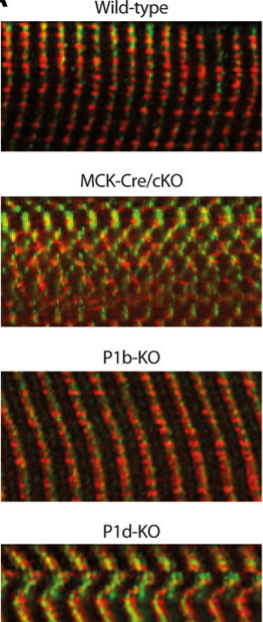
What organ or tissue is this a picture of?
Skeletal muscle fibers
